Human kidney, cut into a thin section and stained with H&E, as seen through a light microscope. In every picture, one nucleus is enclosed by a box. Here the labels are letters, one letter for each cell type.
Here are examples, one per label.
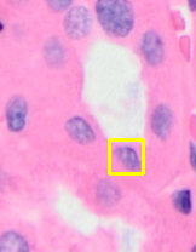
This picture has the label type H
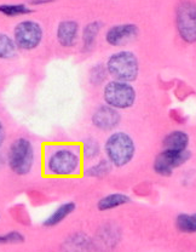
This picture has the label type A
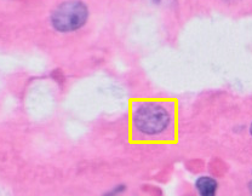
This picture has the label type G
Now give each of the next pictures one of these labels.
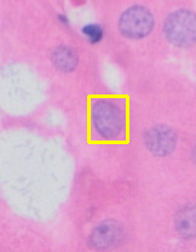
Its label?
type G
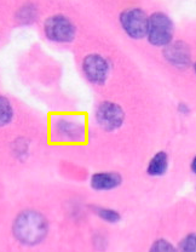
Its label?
type H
